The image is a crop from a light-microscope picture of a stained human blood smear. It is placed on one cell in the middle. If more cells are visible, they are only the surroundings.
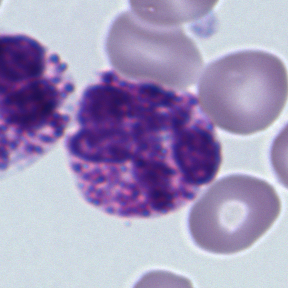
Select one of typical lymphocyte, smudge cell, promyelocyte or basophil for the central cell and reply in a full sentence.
The middle position in this crop is taken by a basophil.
